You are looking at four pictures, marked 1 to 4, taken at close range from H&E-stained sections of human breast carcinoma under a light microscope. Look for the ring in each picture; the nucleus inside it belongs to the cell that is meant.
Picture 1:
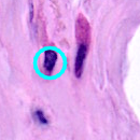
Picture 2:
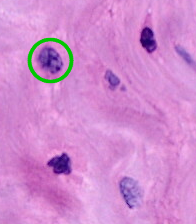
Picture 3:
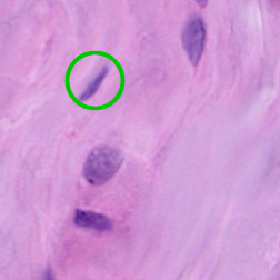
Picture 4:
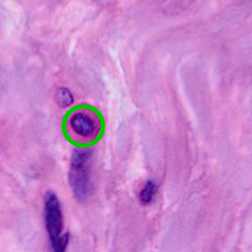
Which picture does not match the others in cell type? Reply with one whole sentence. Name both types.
All pictures except 3 show mast cells; picture 3 shows a fibroblast.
